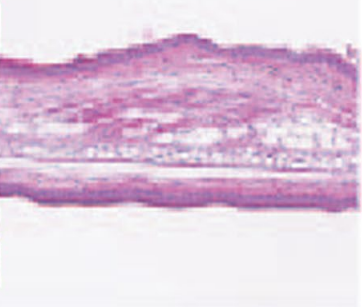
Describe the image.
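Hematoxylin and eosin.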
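The epidermis on the upper surface forms a thin, even, pink-purple layer with a fairly smooth outline. The dermis beneath it contains scattered dark purple nuclei set among pale and pink fibrous bands that run parallel to the surface. Horizontal layers of pale tissue run through the middle of the section. Cell density in the dermis is low.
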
